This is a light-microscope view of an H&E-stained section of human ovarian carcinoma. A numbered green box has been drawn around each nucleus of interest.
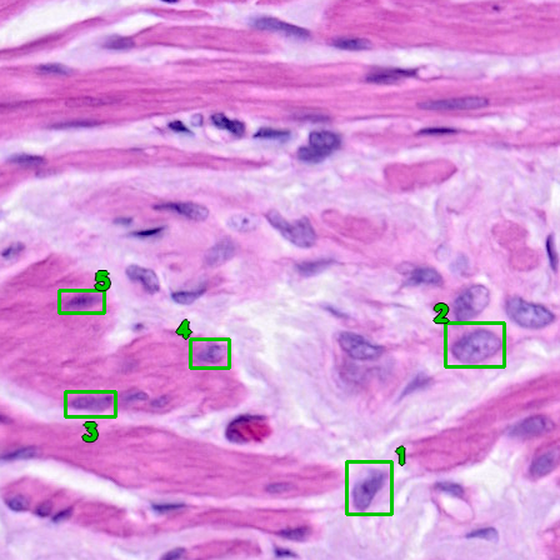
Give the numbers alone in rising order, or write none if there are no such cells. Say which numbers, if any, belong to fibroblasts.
1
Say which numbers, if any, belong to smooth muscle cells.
3, 4, 5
